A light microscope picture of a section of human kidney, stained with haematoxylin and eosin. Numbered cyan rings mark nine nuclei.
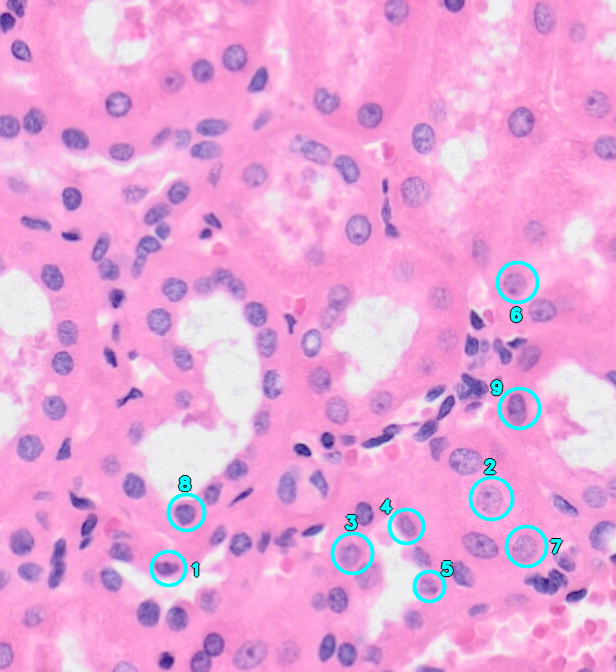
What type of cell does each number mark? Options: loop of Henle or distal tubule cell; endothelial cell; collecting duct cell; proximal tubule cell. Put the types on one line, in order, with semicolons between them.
loop of Henle or distal tubule cell; proximal tubule cell; loop of Henle or distal tubule cell; loop of Henle or distal tubule cell; loop of Henle or distal tubule cell; proximal tubule cell; proximal tubule cell; loop of Henle or distal tubule cell; proximal tubule cell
